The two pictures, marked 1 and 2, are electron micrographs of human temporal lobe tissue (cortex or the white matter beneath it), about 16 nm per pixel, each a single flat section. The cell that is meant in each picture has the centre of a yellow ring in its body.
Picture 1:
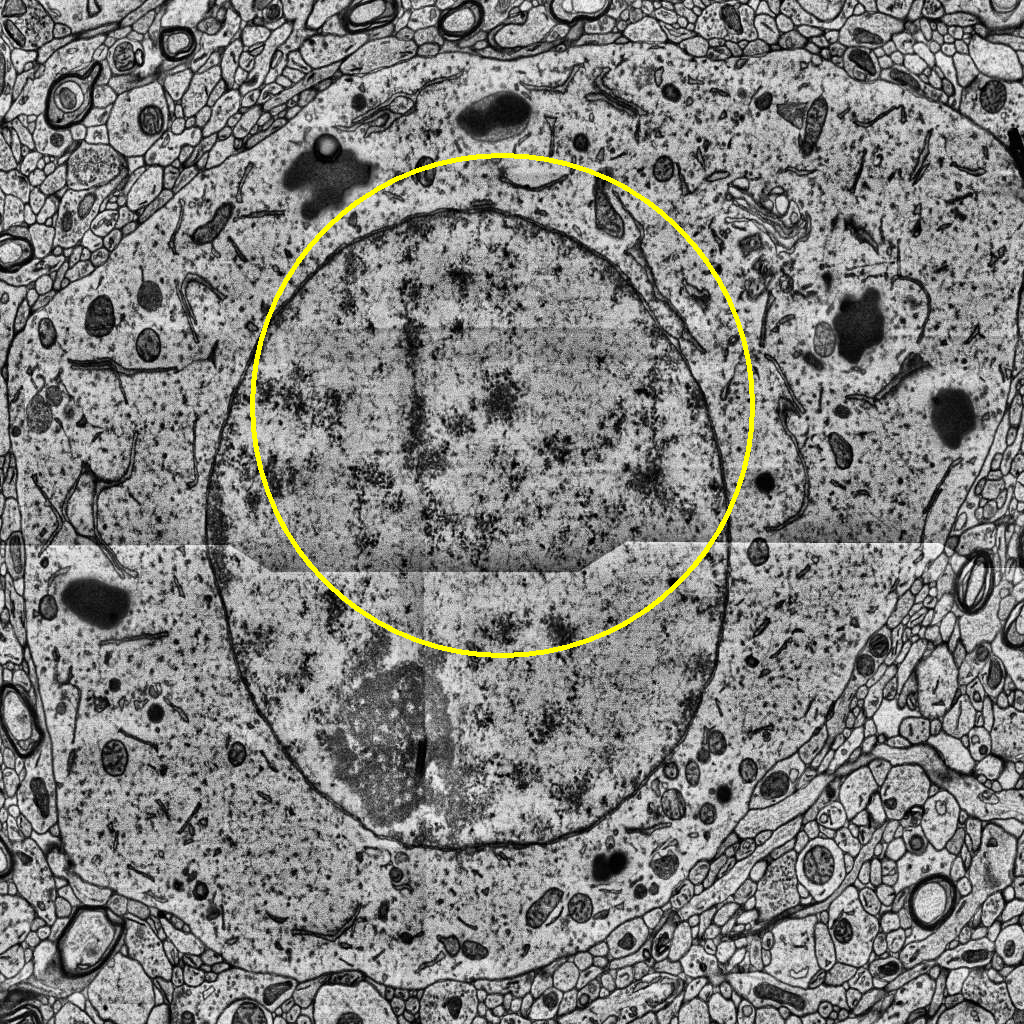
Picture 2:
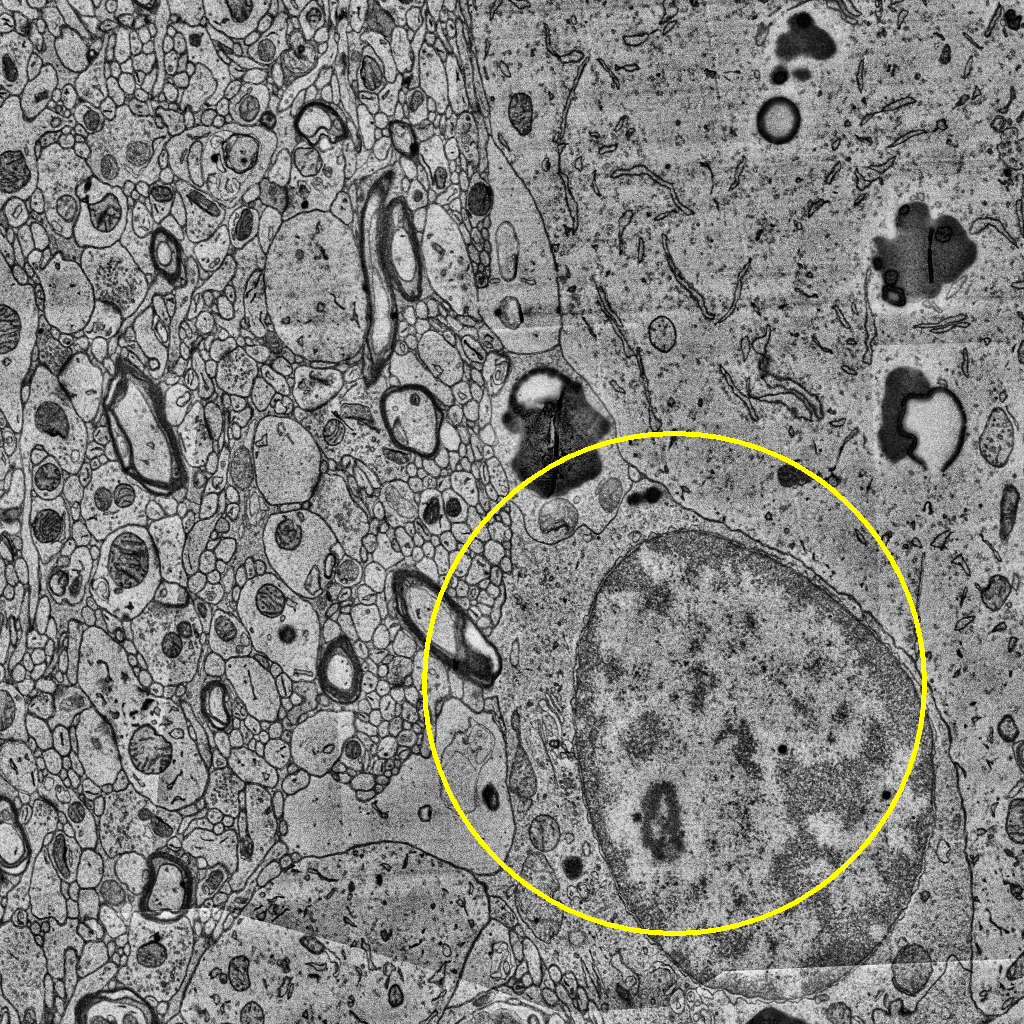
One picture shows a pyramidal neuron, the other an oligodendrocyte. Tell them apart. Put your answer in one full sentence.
In picture 1 the cell is a pyramidal neuron; in picture 2, an oligodendrocyte.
